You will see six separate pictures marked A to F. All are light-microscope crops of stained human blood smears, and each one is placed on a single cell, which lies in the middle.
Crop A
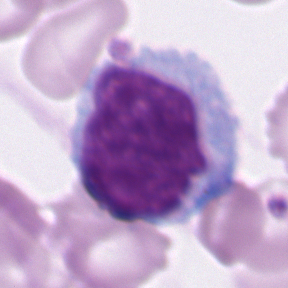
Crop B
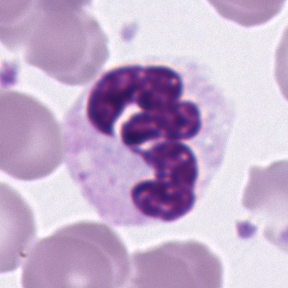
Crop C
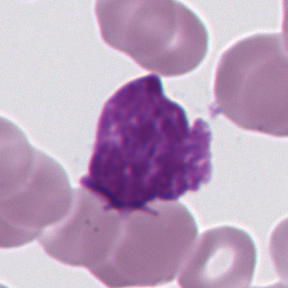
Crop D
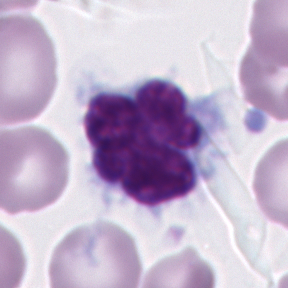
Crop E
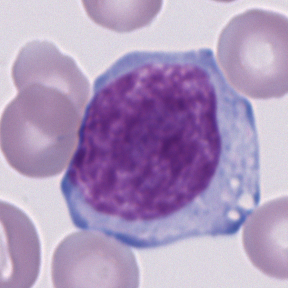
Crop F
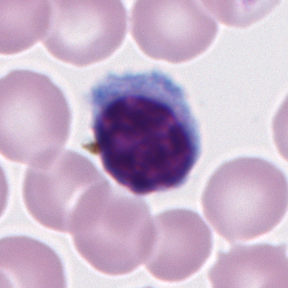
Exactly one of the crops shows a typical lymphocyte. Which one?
F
